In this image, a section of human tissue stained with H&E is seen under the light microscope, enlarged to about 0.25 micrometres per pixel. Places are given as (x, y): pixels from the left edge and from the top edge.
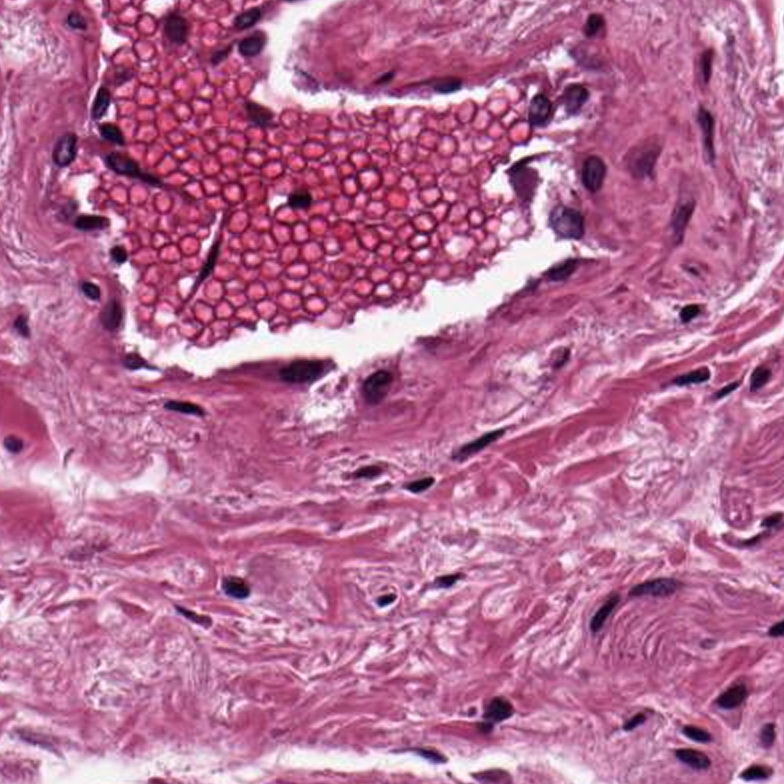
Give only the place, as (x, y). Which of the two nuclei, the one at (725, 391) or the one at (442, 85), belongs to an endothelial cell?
(442, 85)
